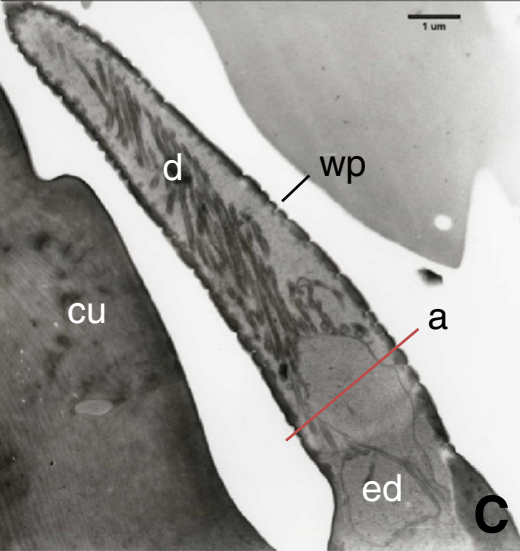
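A longitudinal section through a peg-shaped sensillum rising beside thick, faintly layered cuticle. The peg has a thin wall with a finely beaded outline, and its lumen is packed with many slender branched dendrites toward the tip. Near the base the lumen holds a few larger, paler dendrite profiles.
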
